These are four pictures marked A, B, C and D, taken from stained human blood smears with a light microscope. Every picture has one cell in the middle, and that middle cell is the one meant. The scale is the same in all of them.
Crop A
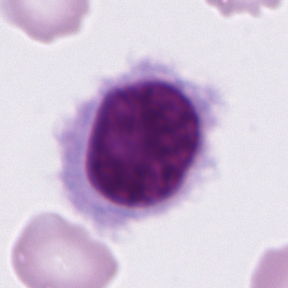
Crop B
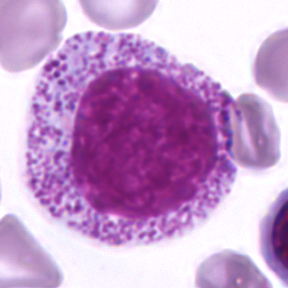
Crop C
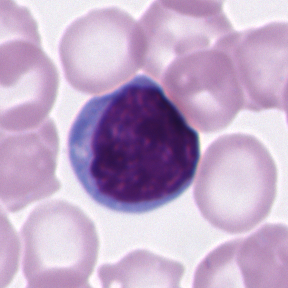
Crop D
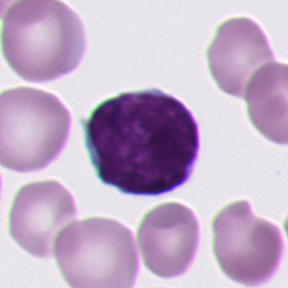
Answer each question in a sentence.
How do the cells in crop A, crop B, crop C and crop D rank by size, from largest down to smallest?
Going down, they run B, A, C, D.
